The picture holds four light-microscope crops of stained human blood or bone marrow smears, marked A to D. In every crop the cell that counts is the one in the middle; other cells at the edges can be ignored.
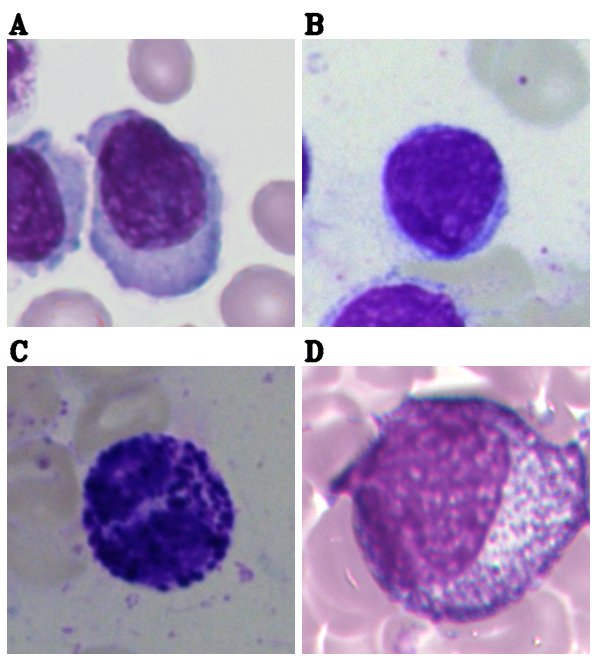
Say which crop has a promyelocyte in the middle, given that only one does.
D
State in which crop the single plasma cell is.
A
